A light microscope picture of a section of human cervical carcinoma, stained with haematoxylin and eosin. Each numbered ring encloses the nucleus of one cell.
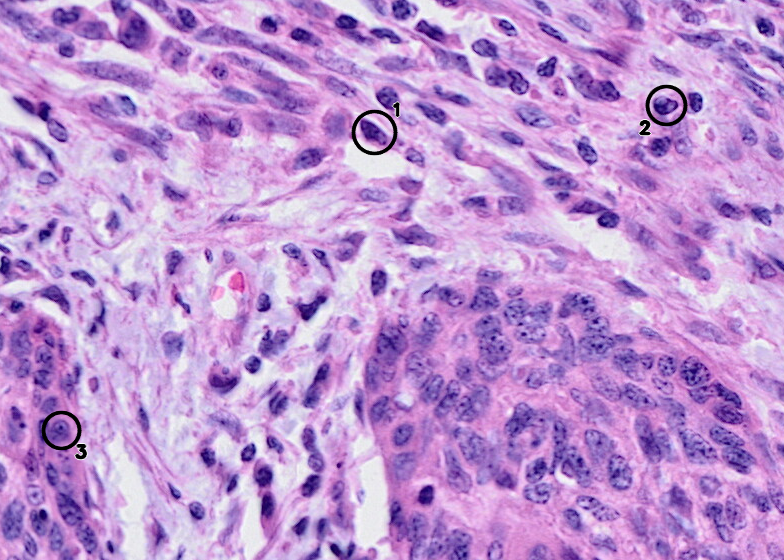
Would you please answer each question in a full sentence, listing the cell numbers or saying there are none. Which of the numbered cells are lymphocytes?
The cells numbered 1 and 2 are, by type, lymphocytes.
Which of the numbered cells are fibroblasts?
There are no fibroblasts in the group of numbered cells.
